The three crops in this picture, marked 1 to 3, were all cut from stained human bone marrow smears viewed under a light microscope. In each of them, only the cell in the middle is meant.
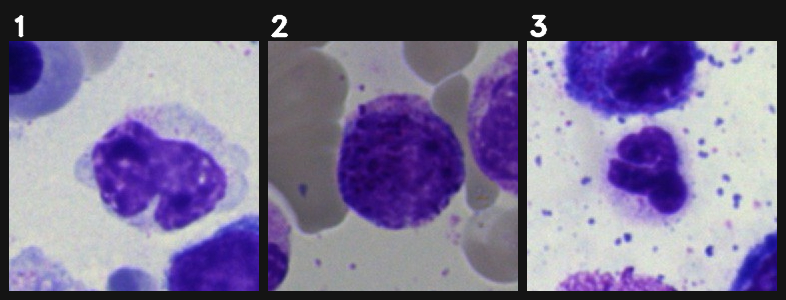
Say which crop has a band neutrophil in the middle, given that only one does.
1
